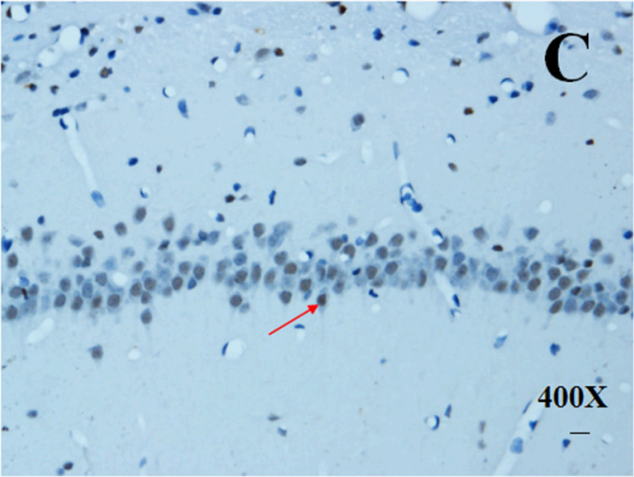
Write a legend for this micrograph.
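This is the pyramidal cell layer of the hippocampus, seen as a horizontal band several cells thick of closely packed neuronal cell bodies crossing the middle of the field. Most nuclei within the band are stained brown to grey-brown, standing out against a pale blue background, and many appear rounded and somewhat shrunken with little visible cytoplasm. Above and below the band the neuropil is pale, scattered with small dark blue glial nuclei, a few brown nuclei and thin vessel profiles. A red arrow points to one brown nucleus at the lower edge of the band.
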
